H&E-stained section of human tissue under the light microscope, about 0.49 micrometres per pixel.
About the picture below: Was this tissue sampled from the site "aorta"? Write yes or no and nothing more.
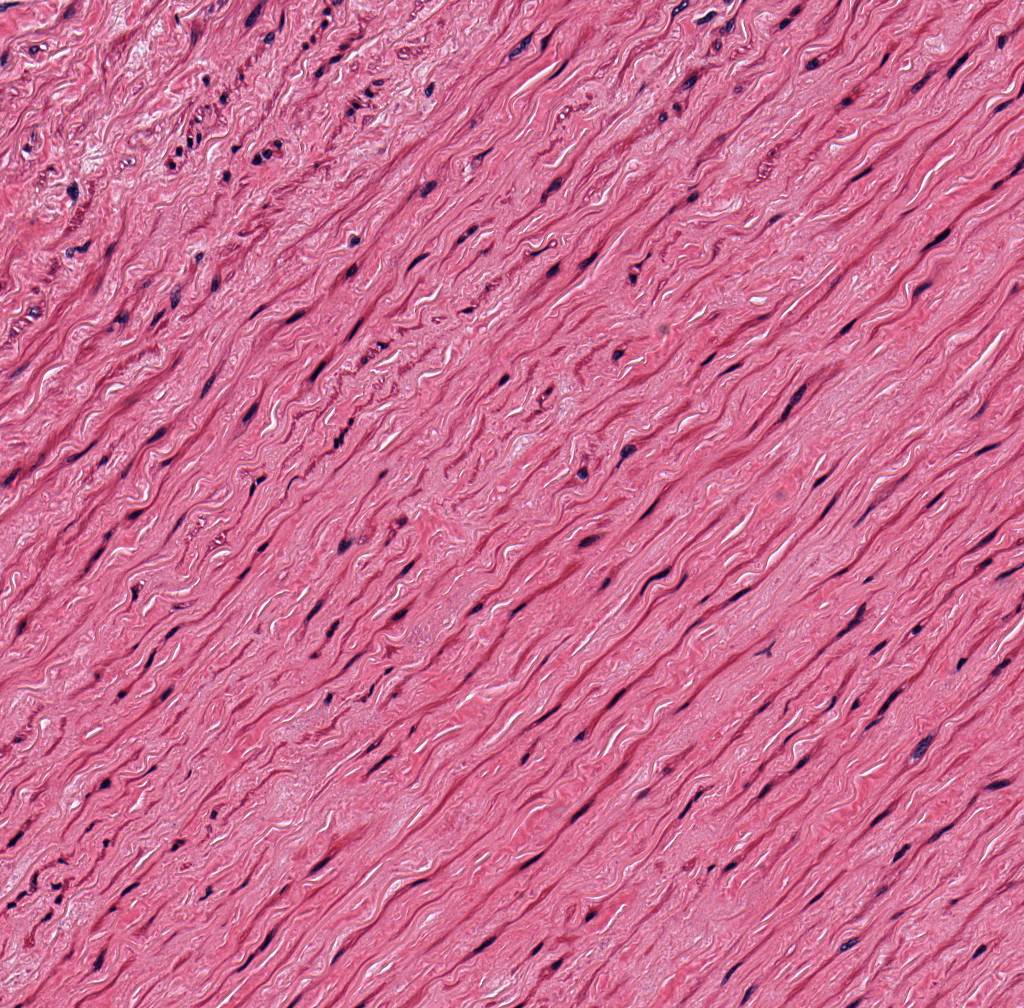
yes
